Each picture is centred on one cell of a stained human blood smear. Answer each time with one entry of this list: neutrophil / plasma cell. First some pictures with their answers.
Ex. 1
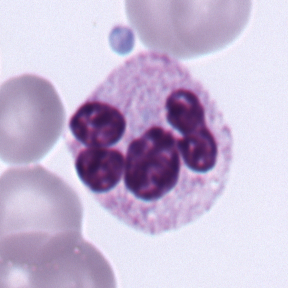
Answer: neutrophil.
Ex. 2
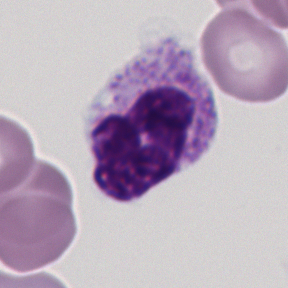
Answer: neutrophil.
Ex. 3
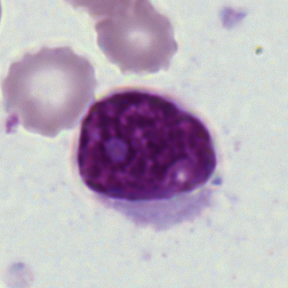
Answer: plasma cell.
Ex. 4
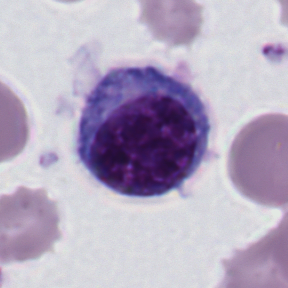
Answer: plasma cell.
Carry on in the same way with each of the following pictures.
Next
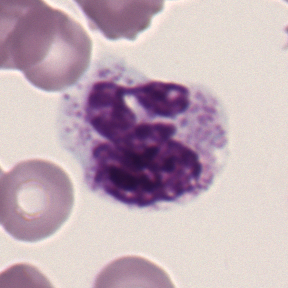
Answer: neutrophil.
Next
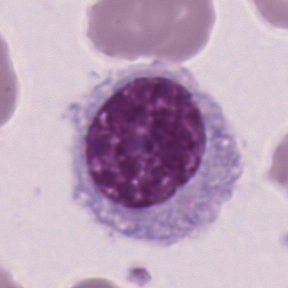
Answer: plasma cell.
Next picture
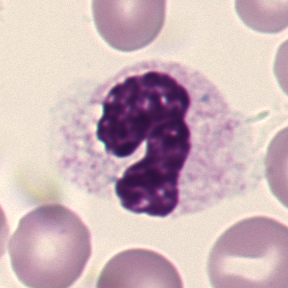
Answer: neutrophil.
